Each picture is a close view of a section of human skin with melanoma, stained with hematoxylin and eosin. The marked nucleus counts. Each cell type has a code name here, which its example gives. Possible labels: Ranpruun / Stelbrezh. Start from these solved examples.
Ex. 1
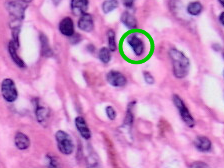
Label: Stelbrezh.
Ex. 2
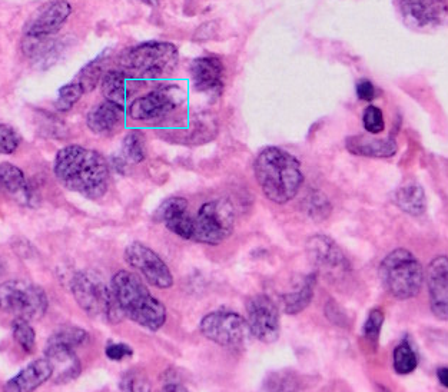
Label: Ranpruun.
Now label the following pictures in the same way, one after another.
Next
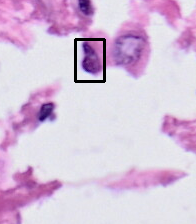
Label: Ranpruun.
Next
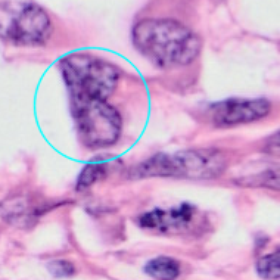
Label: Ranpruun.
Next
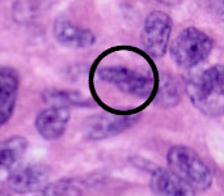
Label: Ranpruun.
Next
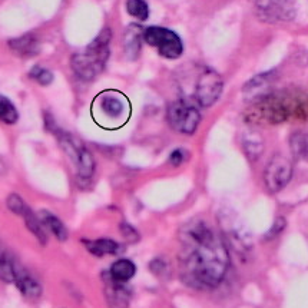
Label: Stelbrezh.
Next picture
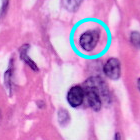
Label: Stelbrezh.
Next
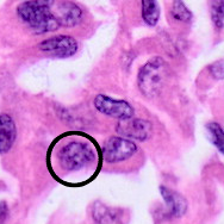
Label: Ranpruun.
